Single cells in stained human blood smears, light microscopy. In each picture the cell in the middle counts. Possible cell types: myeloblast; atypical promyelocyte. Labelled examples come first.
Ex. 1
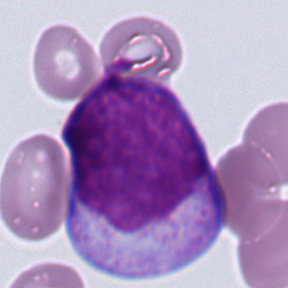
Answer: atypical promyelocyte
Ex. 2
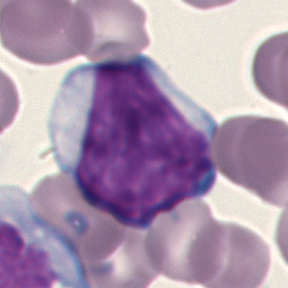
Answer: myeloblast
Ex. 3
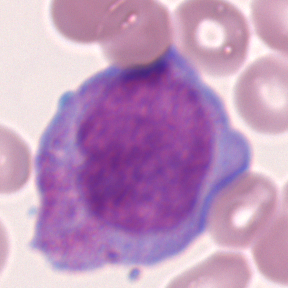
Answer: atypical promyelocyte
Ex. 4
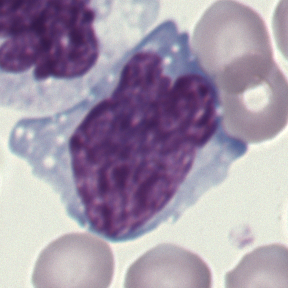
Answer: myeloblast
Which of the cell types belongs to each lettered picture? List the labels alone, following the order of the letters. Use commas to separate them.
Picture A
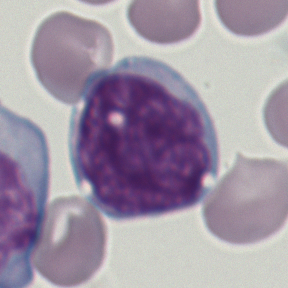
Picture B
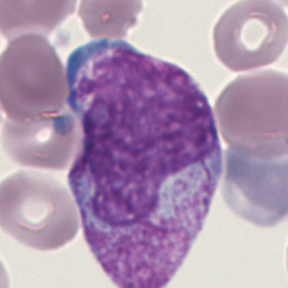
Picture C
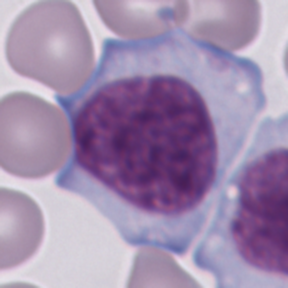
myeloblast, atypical promyelocyte, myeloblast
